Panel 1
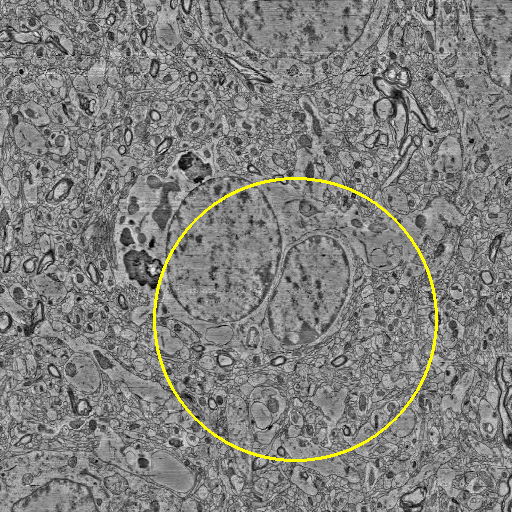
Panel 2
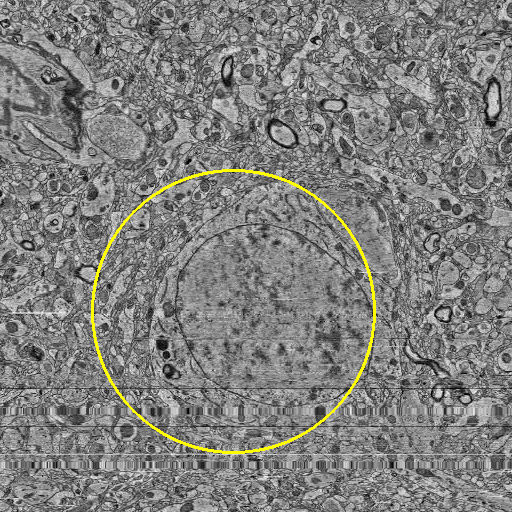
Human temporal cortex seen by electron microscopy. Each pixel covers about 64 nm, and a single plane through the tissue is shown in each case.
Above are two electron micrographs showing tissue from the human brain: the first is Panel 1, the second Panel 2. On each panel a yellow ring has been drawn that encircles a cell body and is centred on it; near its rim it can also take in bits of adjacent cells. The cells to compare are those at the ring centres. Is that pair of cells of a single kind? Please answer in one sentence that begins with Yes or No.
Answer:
No, the ring-centred cells of Panel 1 and Panel 2 belong to two kinds.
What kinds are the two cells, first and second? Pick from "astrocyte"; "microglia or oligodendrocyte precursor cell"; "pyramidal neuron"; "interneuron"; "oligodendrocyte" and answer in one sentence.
The second picture holds a pyramidal neuron in its ring, and the first holds a microglial cell or oligodendrocyte precursor cell.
